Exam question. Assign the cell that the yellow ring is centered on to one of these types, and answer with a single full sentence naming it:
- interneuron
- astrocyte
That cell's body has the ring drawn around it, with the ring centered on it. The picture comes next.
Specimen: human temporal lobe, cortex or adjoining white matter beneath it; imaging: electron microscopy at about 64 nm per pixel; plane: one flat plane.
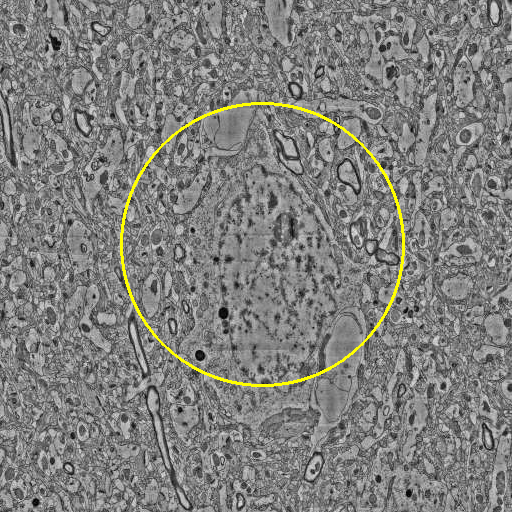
In the micrograph, the cell the yellow ring is centered on is an interneuron.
